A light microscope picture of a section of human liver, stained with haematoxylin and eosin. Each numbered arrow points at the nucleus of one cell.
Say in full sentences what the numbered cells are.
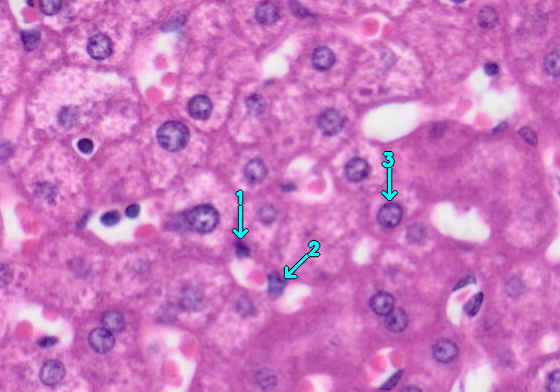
Cell 1 is a fibroblast or stellate cell, cell 2 is an endothelial cell and cell 3 is a hepatocyte.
